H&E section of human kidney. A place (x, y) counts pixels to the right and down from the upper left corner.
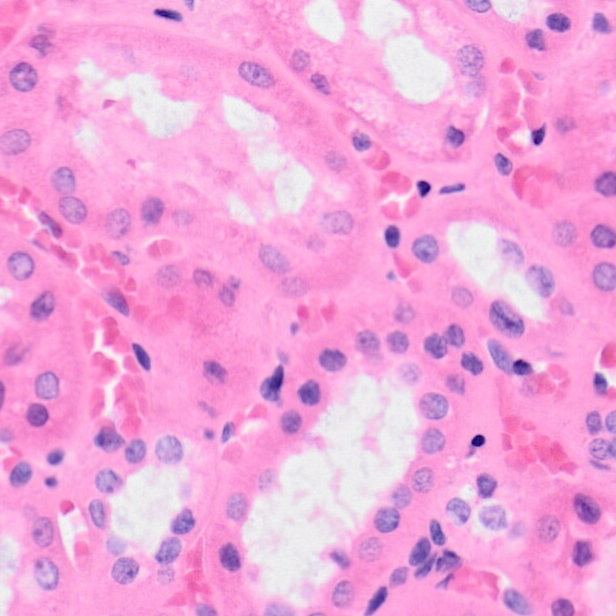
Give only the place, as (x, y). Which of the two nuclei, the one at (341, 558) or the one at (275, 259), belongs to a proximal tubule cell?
(275, 259)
